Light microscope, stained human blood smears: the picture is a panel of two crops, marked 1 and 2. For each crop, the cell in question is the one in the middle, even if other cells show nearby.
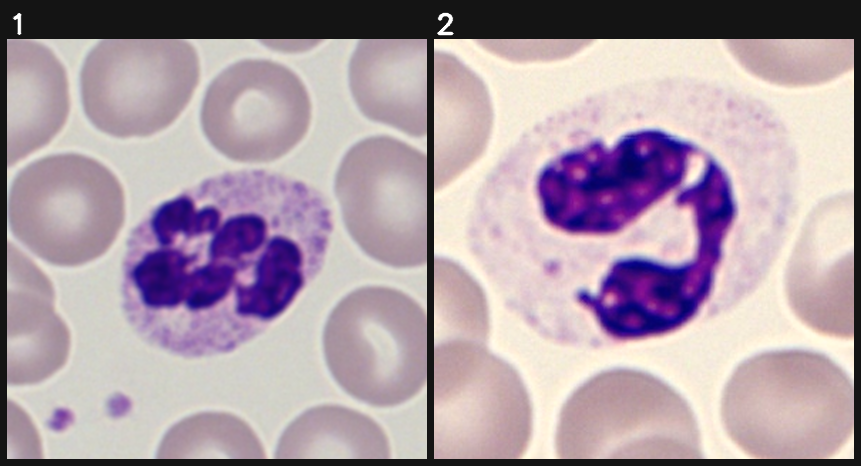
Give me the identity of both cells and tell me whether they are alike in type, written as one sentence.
Yes, segmented neutrophils are depicted in both crops.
